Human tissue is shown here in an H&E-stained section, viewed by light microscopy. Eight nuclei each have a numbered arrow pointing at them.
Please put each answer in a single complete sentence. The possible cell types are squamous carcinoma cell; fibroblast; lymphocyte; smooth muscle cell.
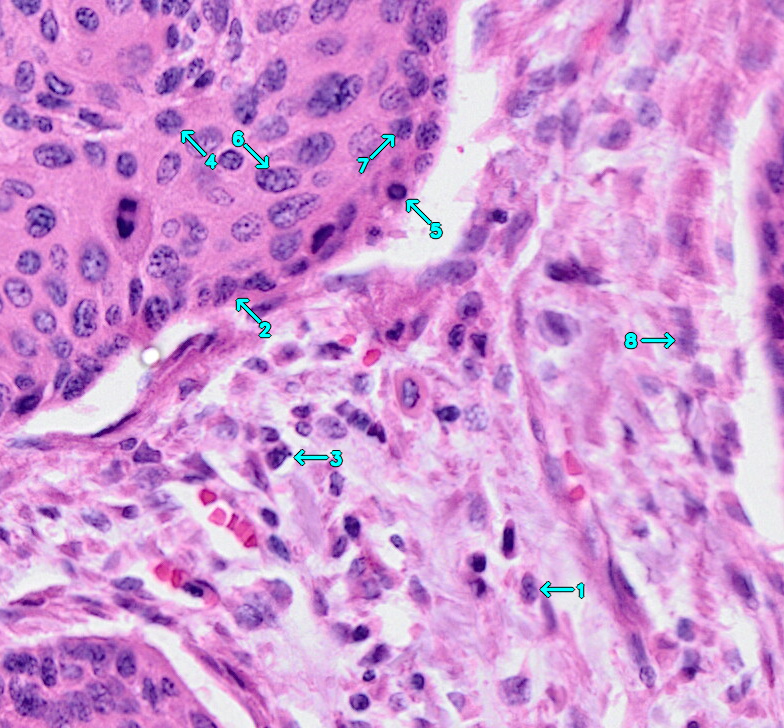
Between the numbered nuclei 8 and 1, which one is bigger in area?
It is nucleus 8, which covers about 1.5 times the area of nucleus 1.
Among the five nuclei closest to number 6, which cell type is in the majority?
The majority of the five nuclei closest to number 6 belong to squamous carcinoma cells.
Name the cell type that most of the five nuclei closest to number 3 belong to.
Of the five nuclei nearest to number 3, most belong to fibroblasts.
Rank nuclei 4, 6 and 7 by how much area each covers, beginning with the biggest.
Going from the biggest nucleus down to the smallest gives 6, 4, 7.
